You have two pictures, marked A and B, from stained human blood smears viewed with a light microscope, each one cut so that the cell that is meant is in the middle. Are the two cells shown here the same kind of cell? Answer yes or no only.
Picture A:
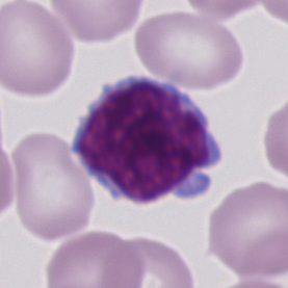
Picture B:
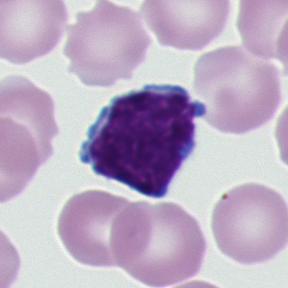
yes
